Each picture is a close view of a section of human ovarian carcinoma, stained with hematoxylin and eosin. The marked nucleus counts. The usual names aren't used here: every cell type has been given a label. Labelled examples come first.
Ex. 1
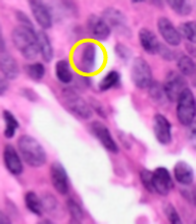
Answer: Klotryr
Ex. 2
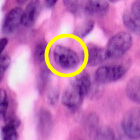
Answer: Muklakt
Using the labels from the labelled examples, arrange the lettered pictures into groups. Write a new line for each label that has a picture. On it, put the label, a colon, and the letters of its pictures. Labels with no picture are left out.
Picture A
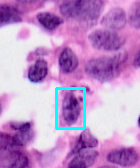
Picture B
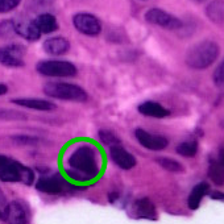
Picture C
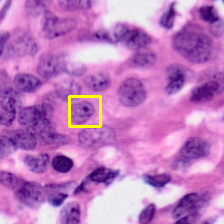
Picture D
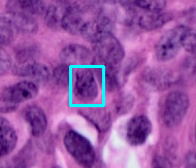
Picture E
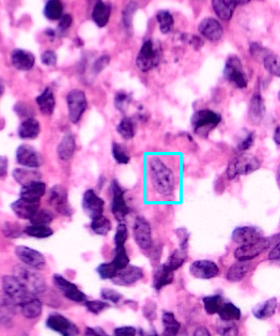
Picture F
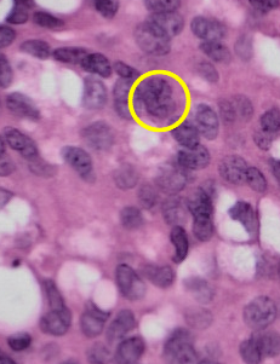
Klotryr: B, F
Muklakt: A, C, D, E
